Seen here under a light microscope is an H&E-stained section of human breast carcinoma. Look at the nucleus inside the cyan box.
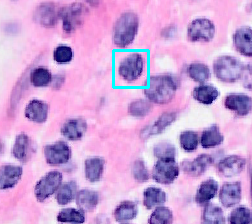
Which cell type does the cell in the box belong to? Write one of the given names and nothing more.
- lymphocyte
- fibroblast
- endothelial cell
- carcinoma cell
lymphocyte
